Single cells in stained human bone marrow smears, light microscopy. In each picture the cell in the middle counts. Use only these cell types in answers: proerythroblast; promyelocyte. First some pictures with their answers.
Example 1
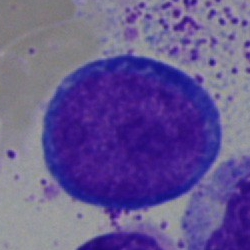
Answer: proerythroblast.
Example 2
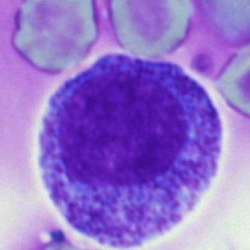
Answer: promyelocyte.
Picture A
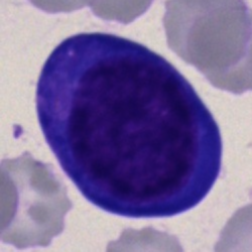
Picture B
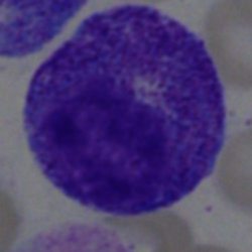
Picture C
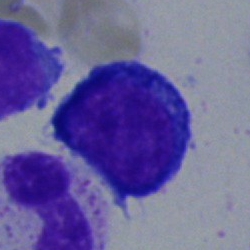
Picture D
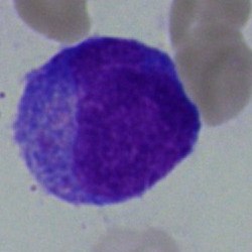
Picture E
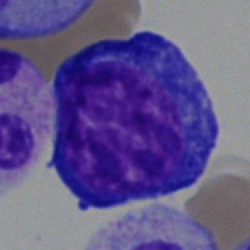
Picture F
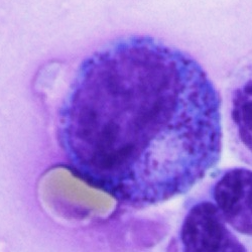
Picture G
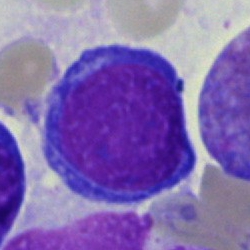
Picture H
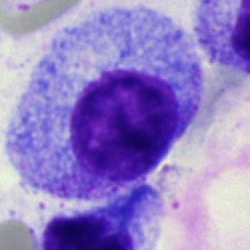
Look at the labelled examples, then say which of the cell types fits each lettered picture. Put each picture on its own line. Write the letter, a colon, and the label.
A: proerythroblast.
B: promyelocyte.
C: proerythroblast.
D: promyelocyte.
E: proerythroblast.
F: promyelocyte.
G: proerythroblast.
H: promyelocyte.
